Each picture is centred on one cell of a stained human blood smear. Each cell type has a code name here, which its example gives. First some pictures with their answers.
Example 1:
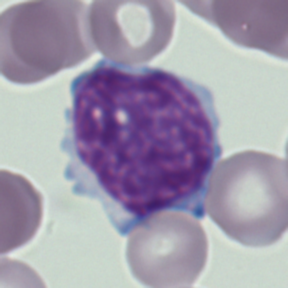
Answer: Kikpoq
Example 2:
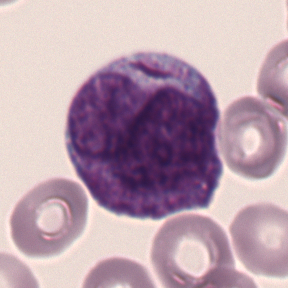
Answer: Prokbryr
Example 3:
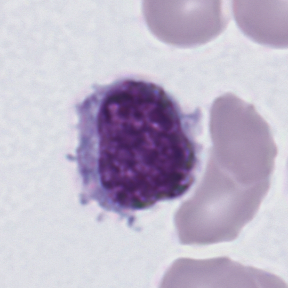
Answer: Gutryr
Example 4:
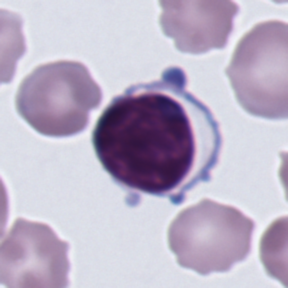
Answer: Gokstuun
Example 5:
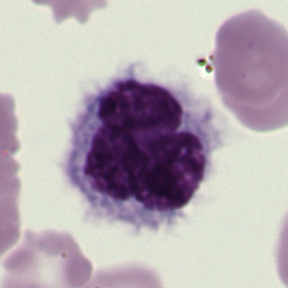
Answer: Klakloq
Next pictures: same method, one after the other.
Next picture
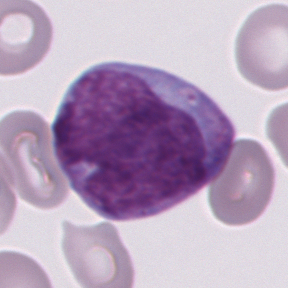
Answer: Prokbryr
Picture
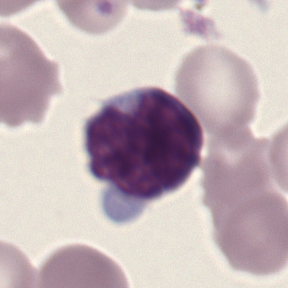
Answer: Gokstuun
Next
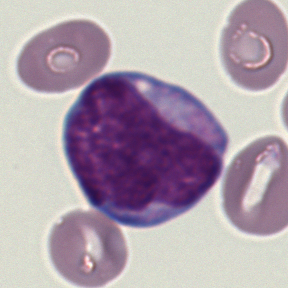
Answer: Prokbryr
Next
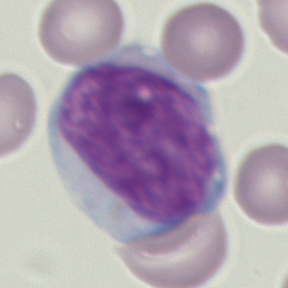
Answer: Kikpoq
